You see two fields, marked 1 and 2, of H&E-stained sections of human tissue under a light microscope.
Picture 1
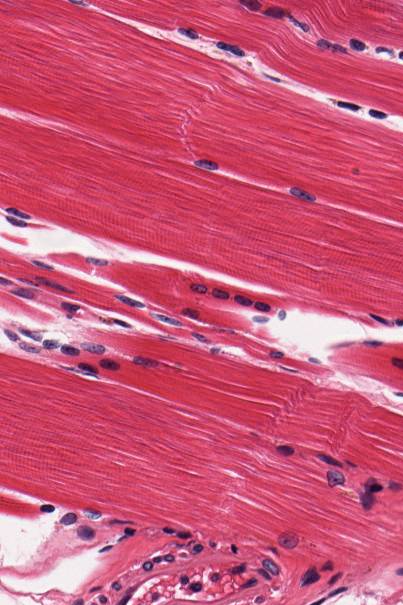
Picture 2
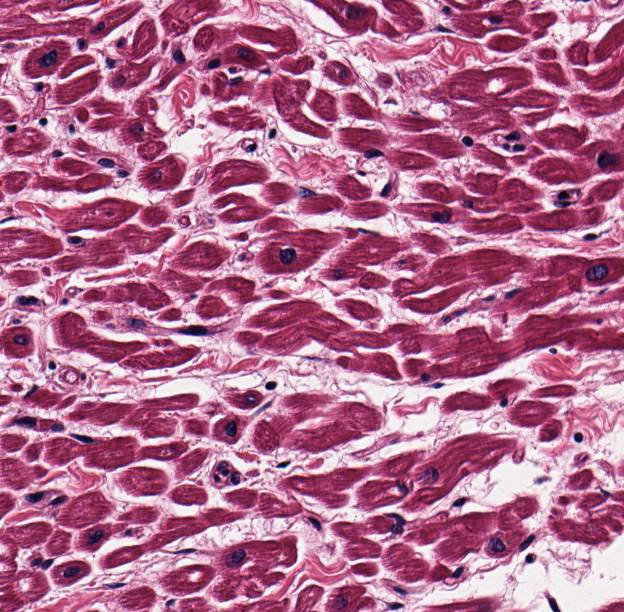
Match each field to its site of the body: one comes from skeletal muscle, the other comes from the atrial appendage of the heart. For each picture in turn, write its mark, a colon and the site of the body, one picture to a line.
1: skeletal muscle
2: atrial appendage of the heart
